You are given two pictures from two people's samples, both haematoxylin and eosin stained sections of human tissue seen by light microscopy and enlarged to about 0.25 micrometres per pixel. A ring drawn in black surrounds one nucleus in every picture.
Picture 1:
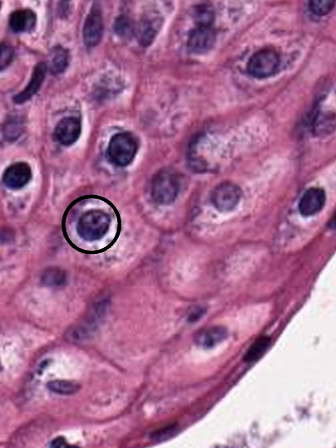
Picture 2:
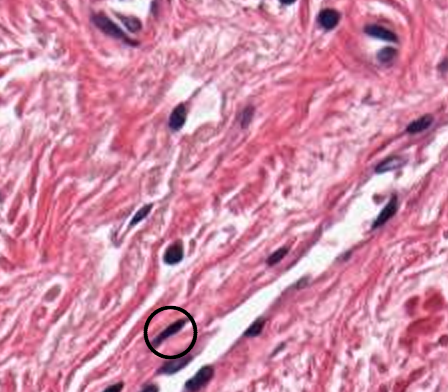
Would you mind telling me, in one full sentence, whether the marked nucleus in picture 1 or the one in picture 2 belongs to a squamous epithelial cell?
Whereas the other picture does not, picture 1 marks a nucleus belonging to a squamous epithelial cell.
